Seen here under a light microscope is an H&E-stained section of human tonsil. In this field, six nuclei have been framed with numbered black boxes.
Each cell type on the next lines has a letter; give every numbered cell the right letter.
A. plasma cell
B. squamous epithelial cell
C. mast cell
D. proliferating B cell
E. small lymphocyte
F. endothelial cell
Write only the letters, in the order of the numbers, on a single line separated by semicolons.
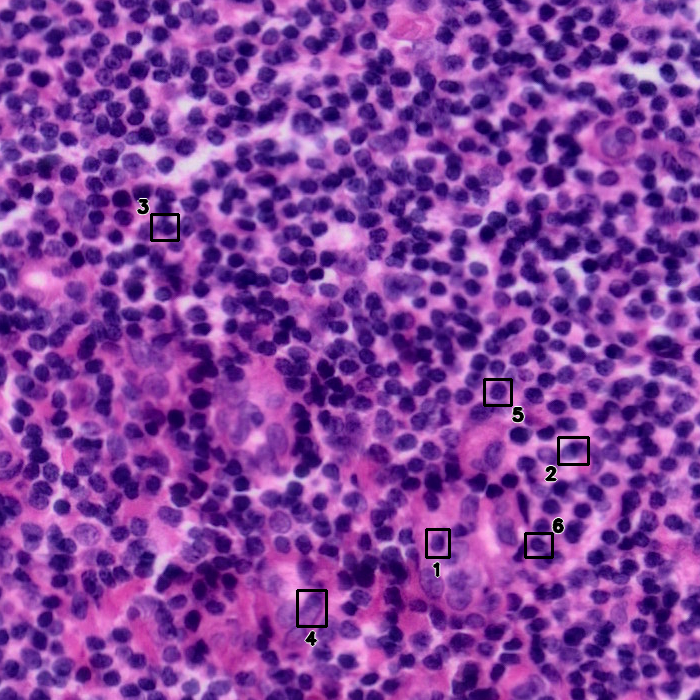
F; E; E; F; E; E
